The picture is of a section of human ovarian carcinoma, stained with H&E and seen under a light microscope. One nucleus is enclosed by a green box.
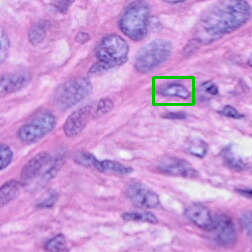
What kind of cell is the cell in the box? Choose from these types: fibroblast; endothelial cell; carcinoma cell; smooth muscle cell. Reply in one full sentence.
The cell in the box appears to be a fibroblast.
